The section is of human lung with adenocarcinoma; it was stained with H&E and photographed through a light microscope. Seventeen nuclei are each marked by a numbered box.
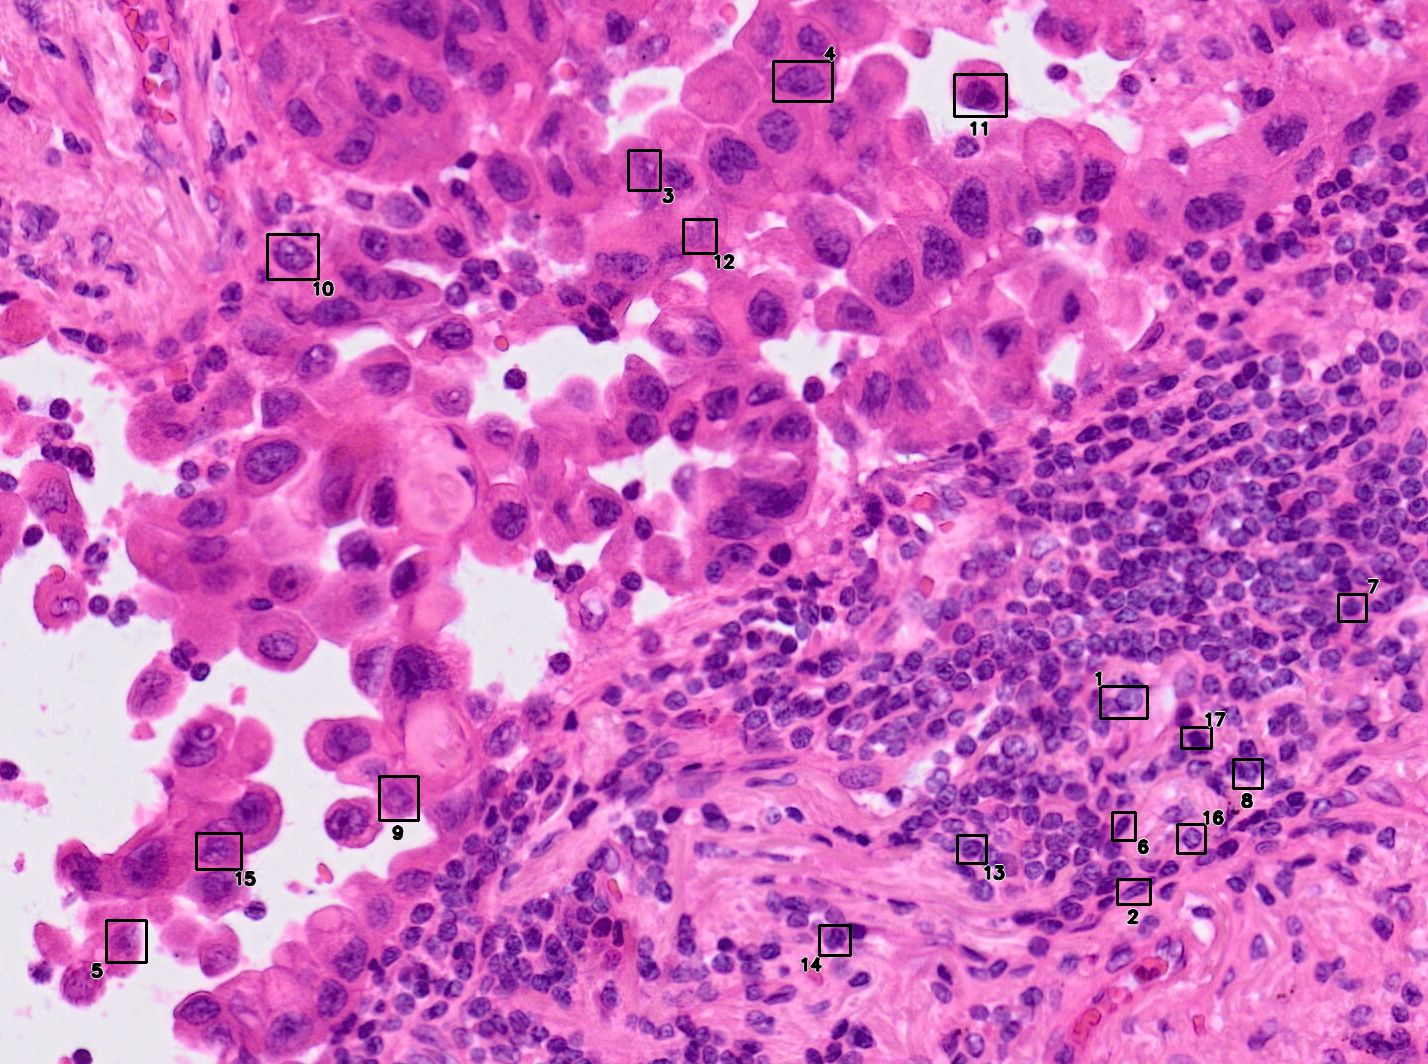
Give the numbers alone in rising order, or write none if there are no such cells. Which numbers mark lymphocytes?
1, 2, 6, 7, 8, 13, 14, 16, 17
